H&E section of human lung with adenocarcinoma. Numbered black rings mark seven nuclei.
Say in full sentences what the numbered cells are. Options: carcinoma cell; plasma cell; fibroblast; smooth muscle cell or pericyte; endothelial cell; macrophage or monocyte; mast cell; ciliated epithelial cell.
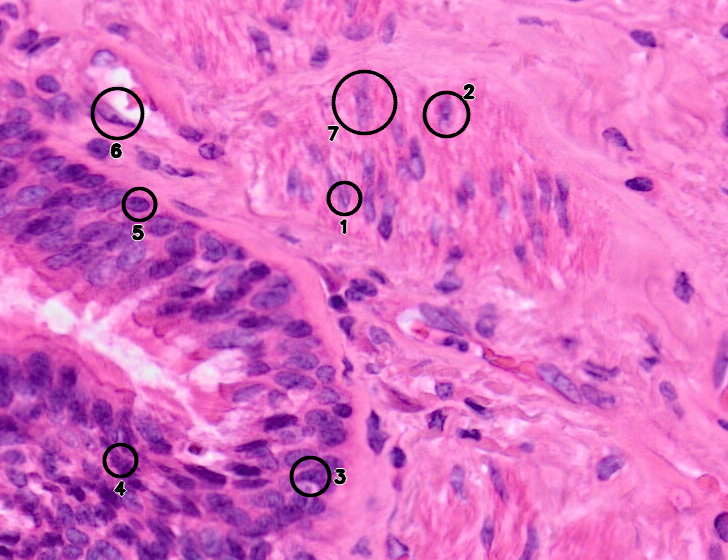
Cells 1, 2 and 7 are smooth muscle cells or pericytes. Cells 3, 4 and 5 are ciliated epithelial cells. Cell 6 is an endothelial cell.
